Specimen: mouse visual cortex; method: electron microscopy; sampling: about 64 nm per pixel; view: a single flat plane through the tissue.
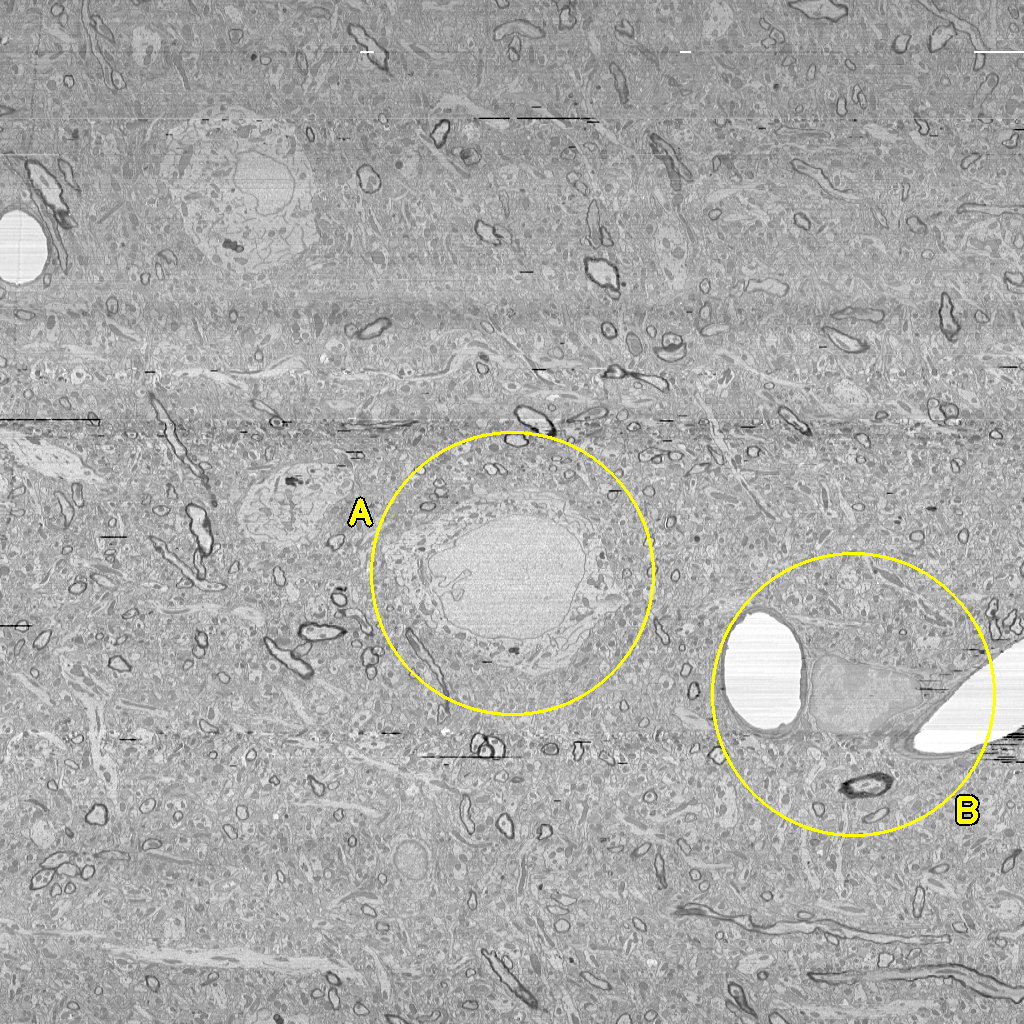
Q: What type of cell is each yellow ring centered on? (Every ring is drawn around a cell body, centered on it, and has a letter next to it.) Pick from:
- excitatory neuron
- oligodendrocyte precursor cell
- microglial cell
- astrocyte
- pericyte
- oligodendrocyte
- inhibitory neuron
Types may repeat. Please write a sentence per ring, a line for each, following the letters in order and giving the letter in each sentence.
The cell body centered in ring A belongs to an excitatory neuron.
The cell body centered in ring B belongs to a microglial cell.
